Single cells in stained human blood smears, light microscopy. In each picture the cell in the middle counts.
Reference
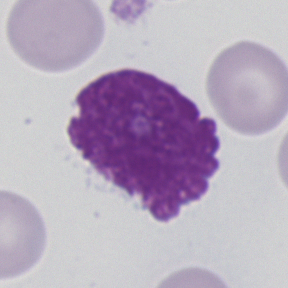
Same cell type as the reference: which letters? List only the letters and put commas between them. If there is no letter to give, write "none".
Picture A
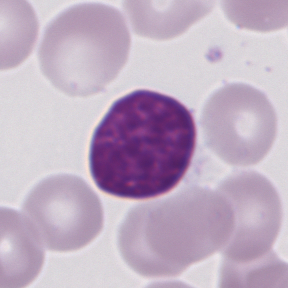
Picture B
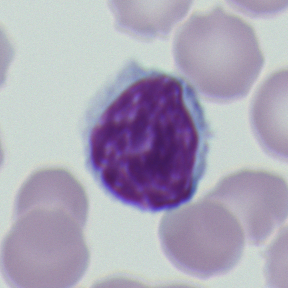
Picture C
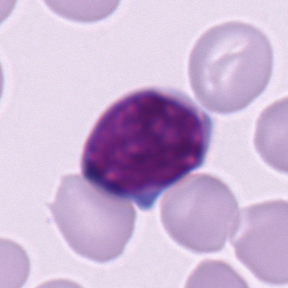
A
